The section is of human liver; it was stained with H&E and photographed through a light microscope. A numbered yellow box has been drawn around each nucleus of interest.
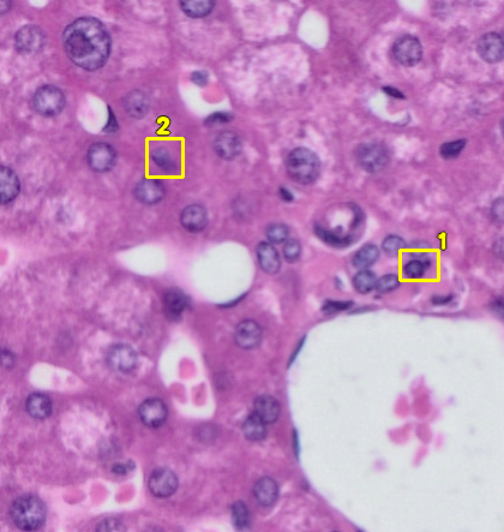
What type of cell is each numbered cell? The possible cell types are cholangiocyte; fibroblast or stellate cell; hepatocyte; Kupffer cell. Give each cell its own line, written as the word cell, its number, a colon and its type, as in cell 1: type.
cell 1: cholangiocyte
cell 2: fibroblast or stellate cell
